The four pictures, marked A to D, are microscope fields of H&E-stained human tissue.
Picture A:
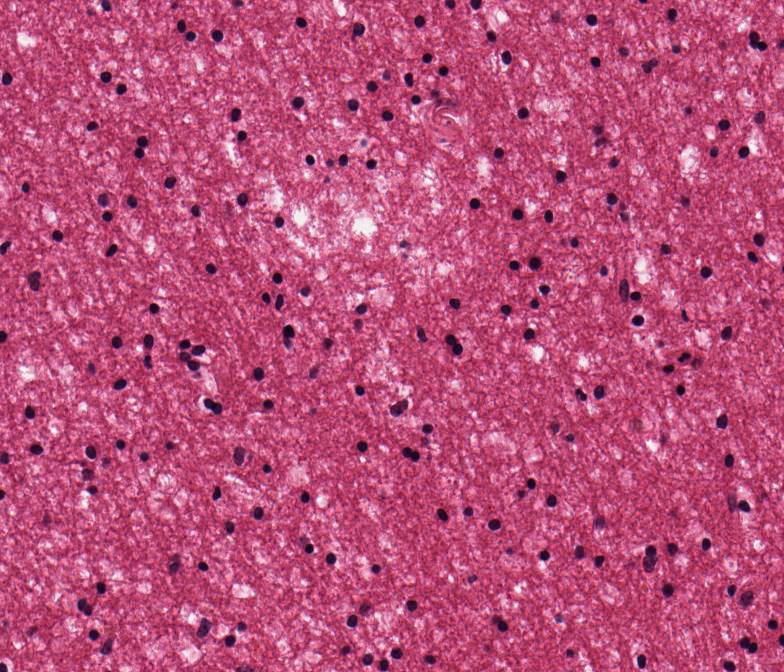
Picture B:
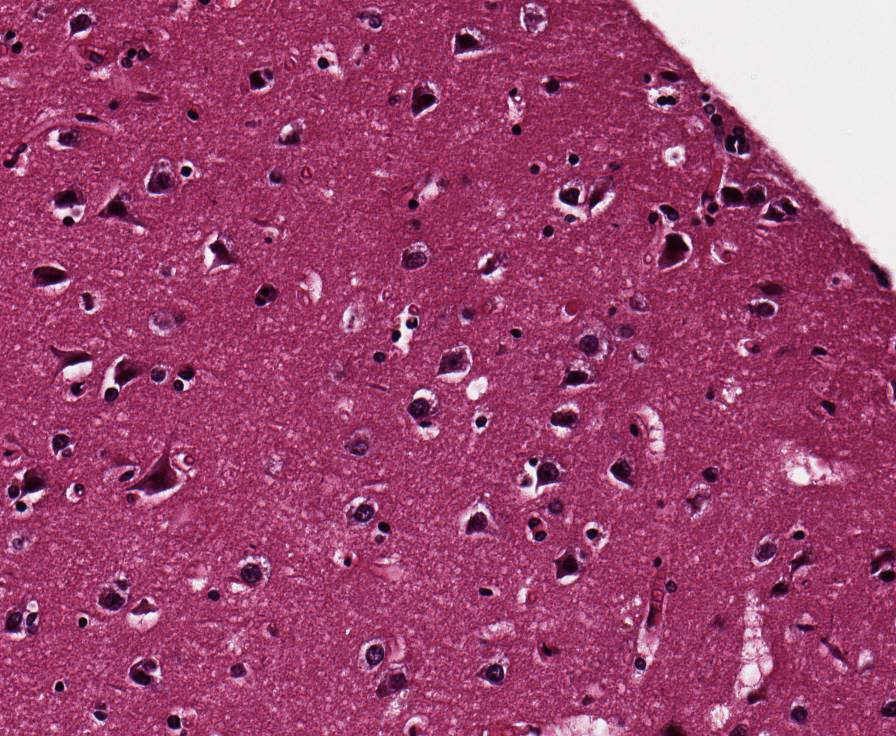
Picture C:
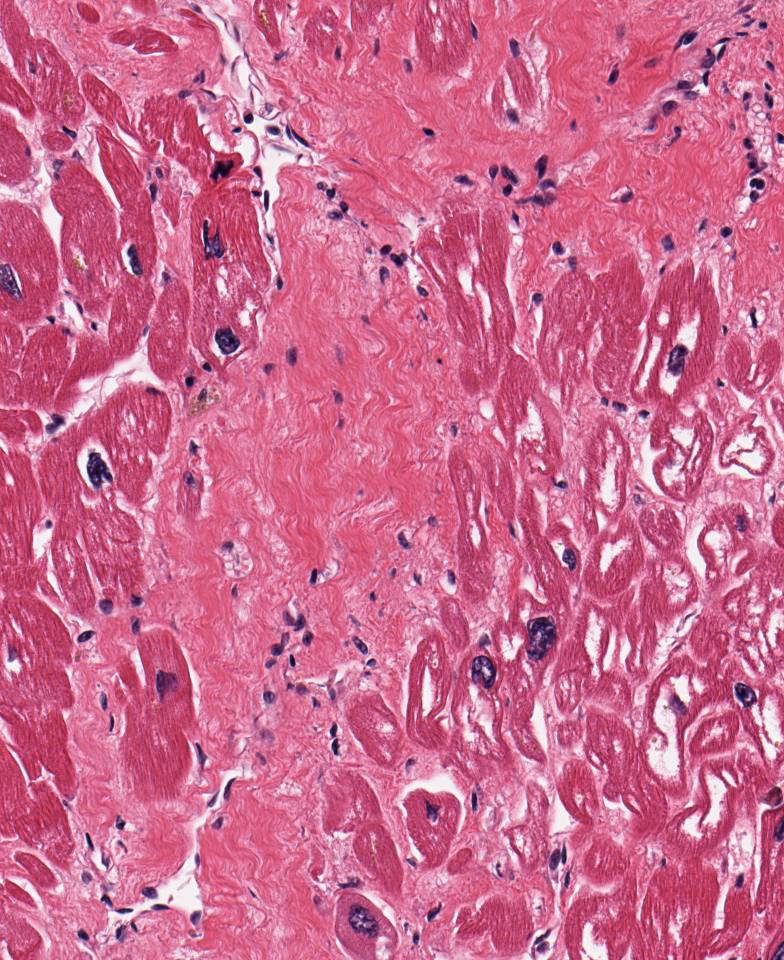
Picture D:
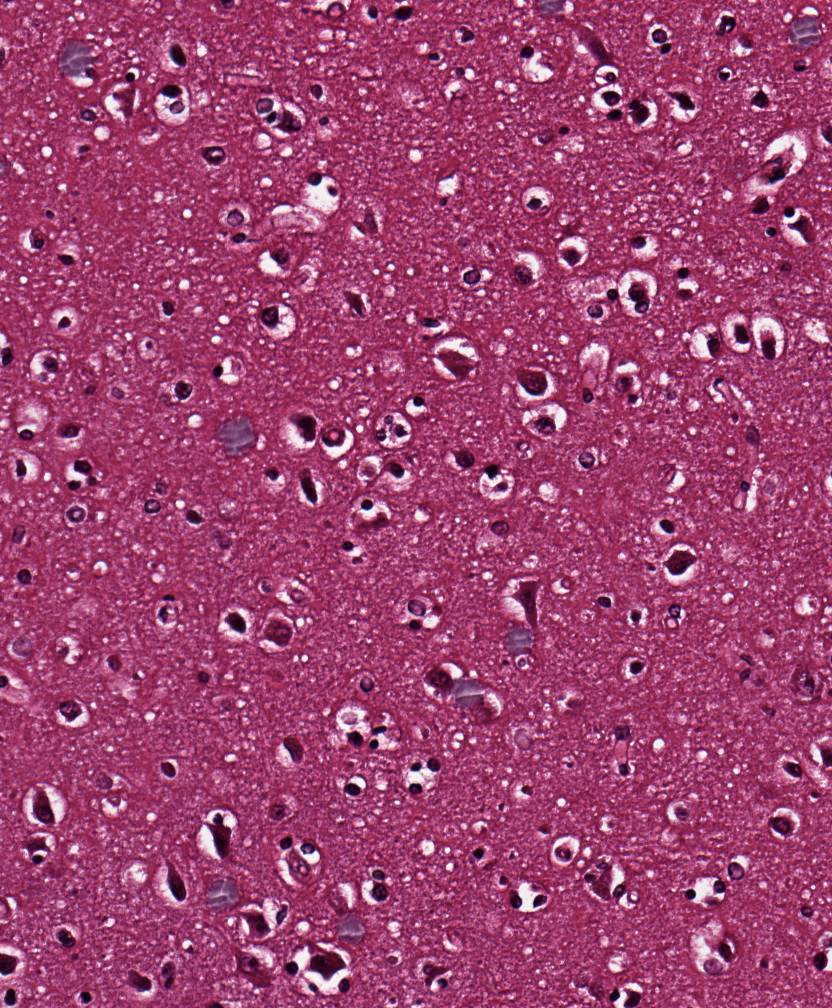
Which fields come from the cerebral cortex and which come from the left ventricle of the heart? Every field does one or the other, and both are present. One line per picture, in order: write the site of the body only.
cerebral cortex
cerebral cortex
left ventricle of the heart
cerebral cortex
